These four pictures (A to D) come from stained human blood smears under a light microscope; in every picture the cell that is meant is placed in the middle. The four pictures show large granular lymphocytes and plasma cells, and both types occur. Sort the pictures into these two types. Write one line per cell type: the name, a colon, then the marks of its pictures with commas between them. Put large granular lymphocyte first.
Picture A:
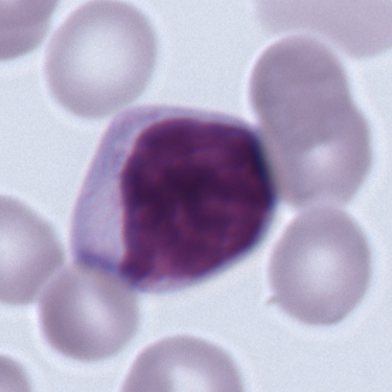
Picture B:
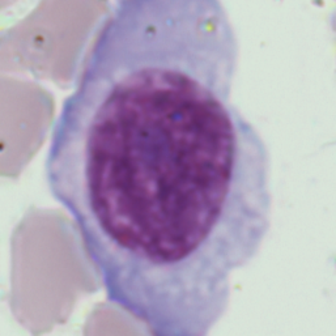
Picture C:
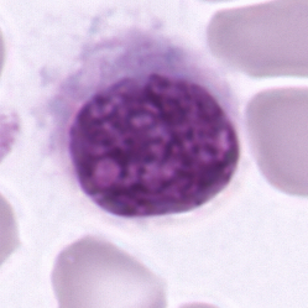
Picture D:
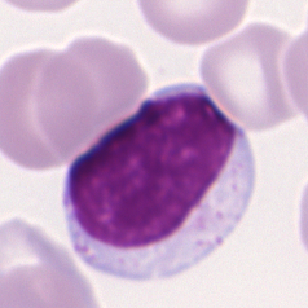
large granular lymphocyte: A, D
plasma cell: B, C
